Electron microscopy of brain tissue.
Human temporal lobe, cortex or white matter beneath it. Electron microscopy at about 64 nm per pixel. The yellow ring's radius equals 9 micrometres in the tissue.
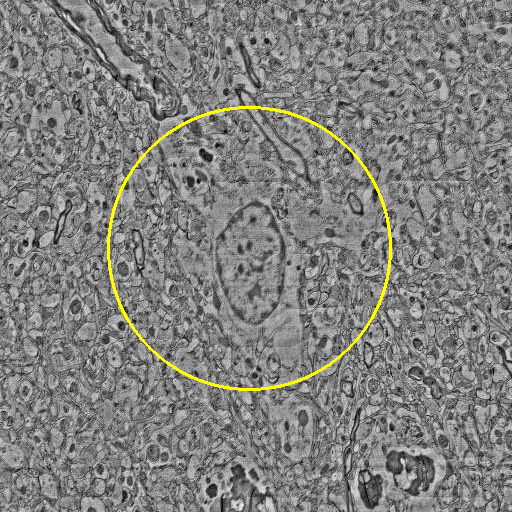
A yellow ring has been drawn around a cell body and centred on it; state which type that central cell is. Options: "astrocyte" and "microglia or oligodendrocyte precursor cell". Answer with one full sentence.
The cell at the middle of the yellow ring is an astrocyte in this picture.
